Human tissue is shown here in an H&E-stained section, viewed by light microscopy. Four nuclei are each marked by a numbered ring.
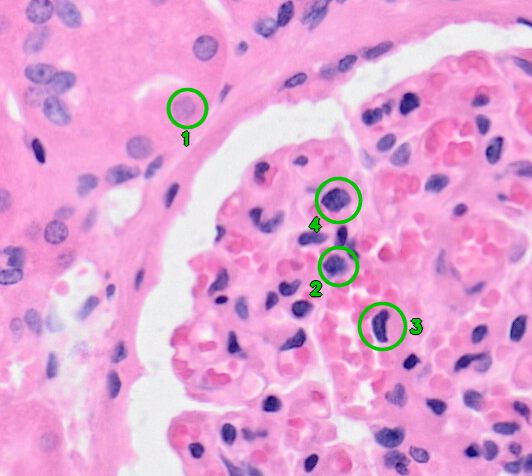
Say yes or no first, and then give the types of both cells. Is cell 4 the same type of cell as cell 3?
Yes, both cell 4 and cell 3 count among the endothelial cells.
